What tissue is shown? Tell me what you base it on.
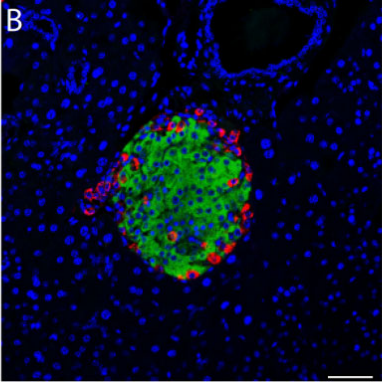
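Pancreatic islet. The cluster is sharply bounded from the surrounding tissue.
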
